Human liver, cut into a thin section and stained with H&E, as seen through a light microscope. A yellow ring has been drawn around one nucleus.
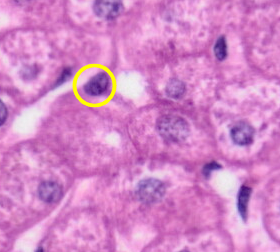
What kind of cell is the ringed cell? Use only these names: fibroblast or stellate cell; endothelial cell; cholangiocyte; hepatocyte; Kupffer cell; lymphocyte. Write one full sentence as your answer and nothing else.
Cytologically, the ringed cell is to be regarded as a Kupffer cell.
